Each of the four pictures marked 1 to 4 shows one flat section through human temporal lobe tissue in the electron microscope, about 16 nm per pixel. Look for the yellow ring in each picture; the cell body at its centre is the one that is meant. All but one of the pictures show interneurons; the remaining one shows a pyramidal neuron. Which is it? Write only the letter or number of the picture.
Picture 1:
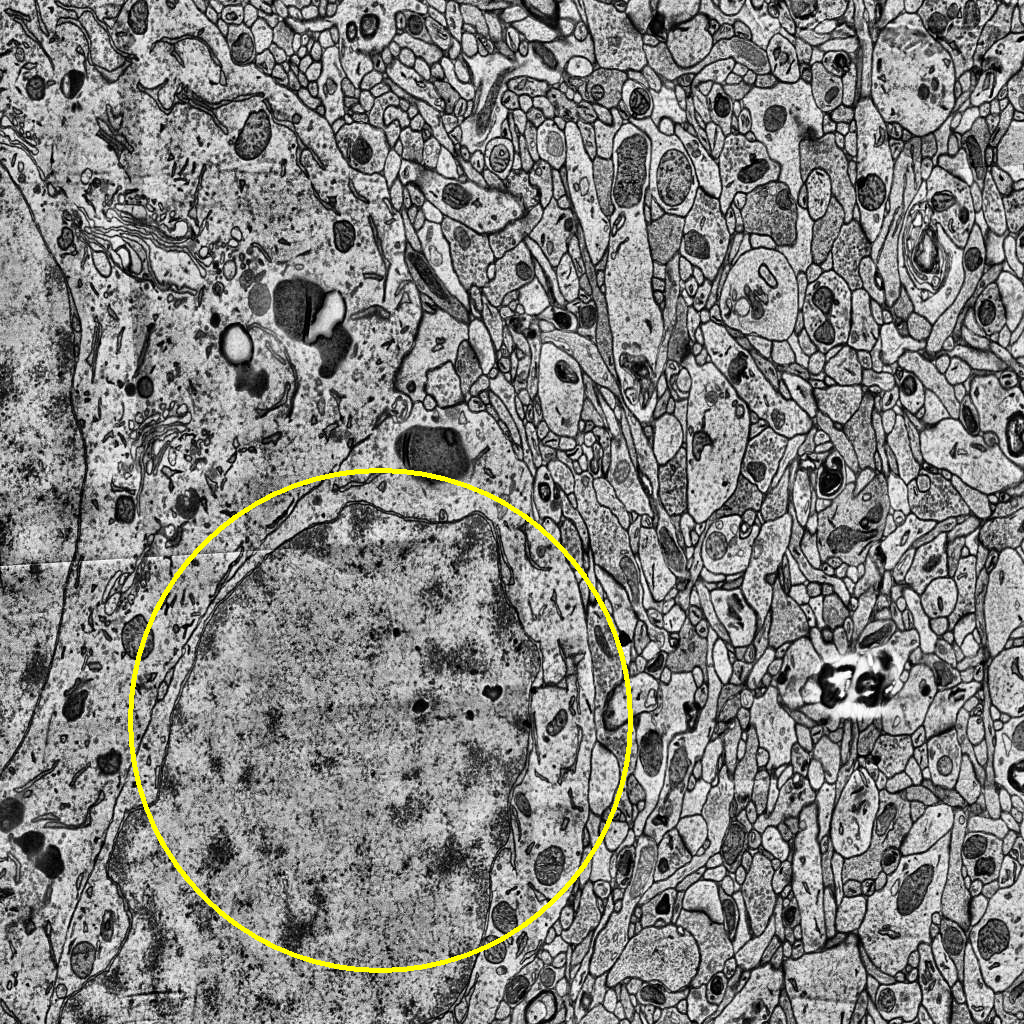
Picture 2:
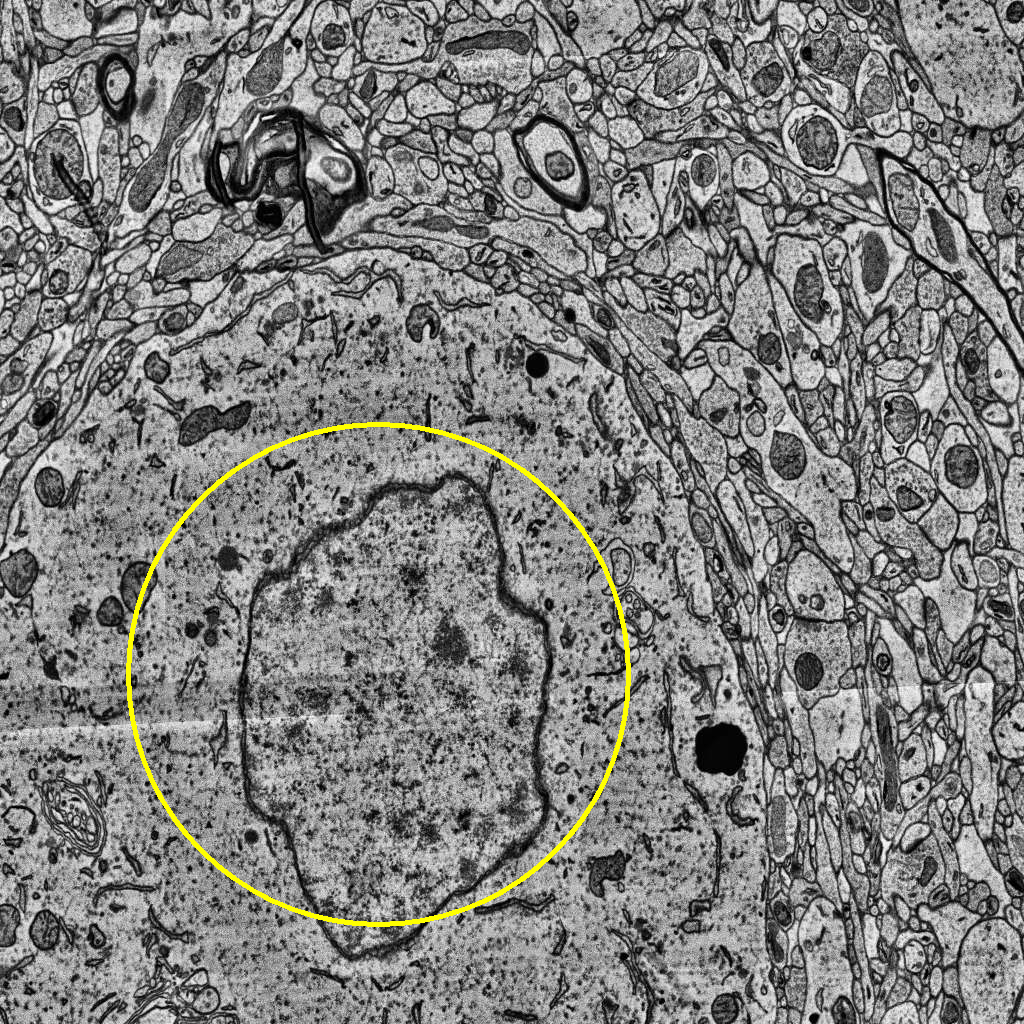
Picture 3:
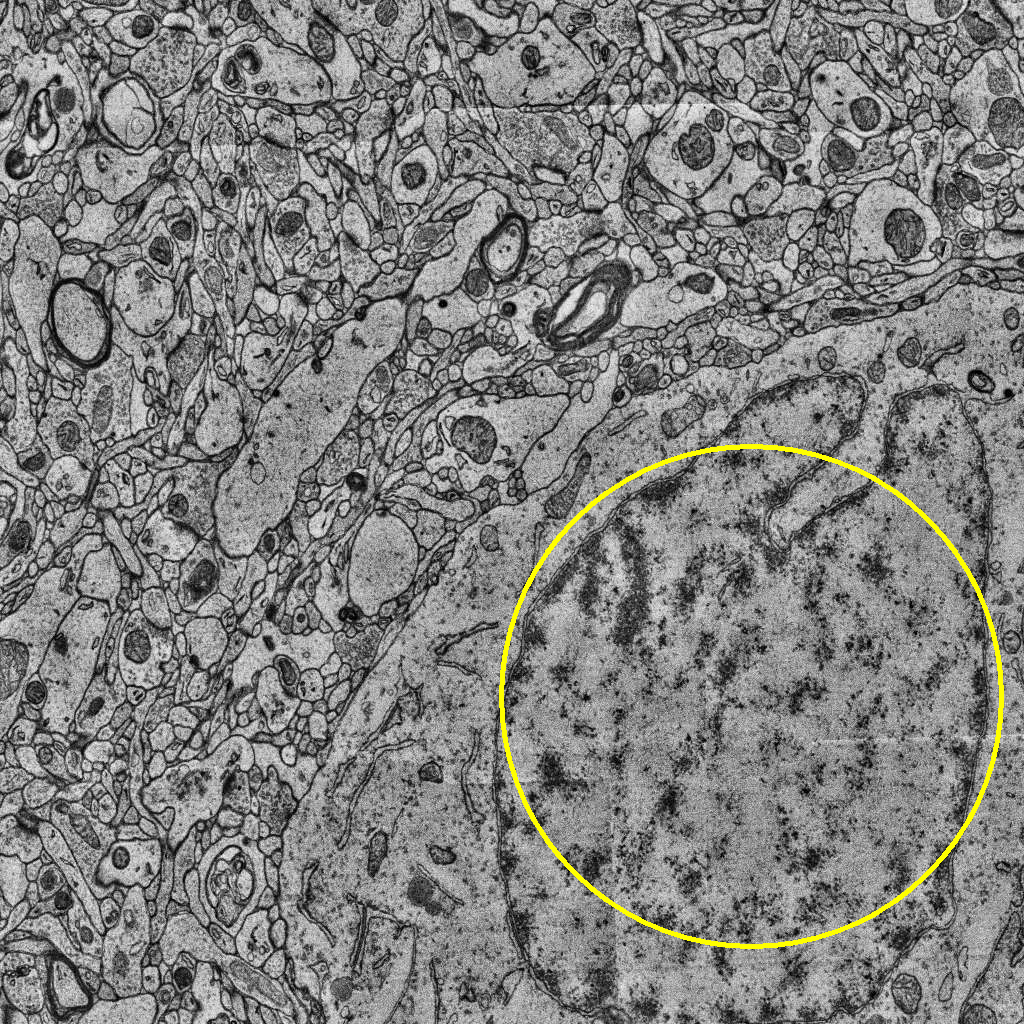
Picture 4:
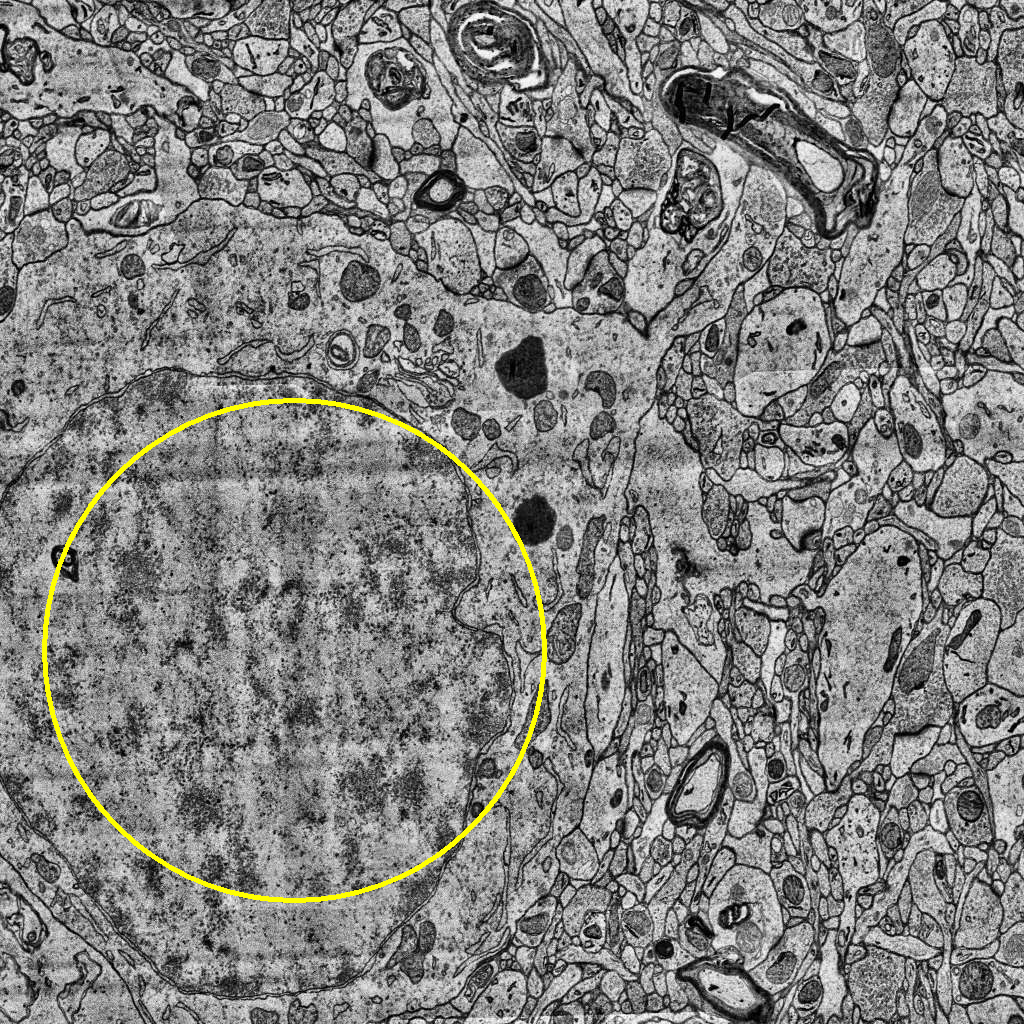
2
